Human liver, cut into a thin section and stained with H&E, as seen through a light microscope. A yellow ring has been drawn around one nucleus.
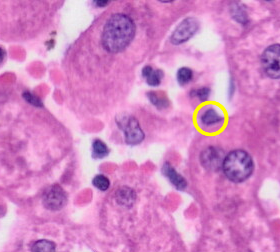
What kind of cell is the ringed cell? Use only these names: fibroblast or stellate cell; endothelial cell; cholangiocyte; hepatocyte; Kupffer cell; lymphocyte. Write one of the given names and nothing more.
fibroblast or stellate cell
